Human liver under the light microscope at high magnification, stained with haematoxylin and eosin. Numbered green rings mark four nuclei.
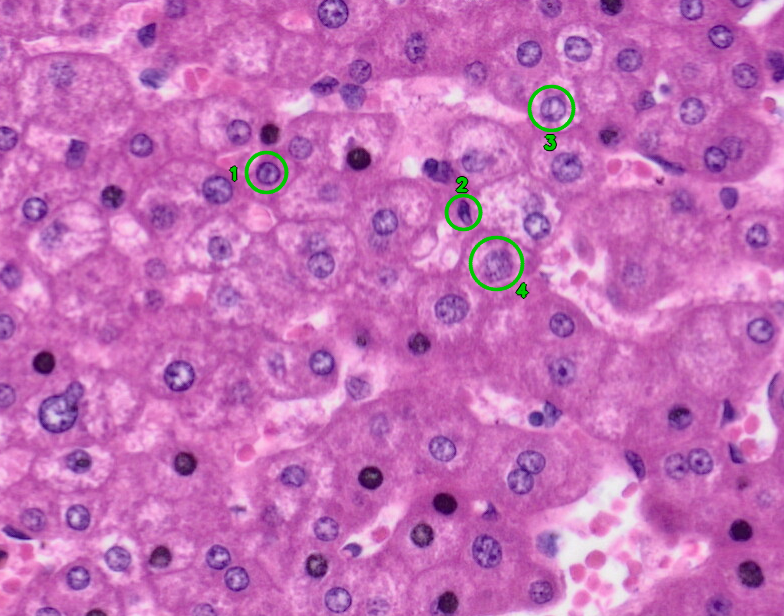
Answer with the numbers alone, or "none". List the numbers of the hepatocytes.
1, 3, 4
